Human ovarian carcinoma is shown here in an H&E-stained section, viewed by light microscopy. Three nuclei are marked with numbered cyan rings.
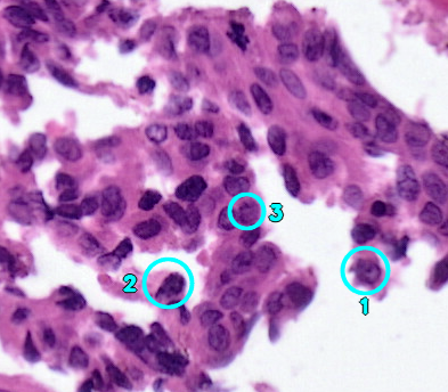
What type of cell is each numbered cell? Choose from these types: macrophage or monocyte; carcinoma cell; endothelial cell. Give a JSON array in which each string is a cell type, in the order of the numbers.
["macrophage or monocyte", "macrophage or monocyte", "carcinoma cell"]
